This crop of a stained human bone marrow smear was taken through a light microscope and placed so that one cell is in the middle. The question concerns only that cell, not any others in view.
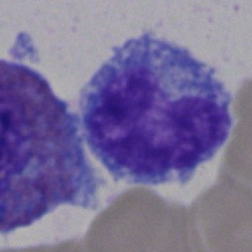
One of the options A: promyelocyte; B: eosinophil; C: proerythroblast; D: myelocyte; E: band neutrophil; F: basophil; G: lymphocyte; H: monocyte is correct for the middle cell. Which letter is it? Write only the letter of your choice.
H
